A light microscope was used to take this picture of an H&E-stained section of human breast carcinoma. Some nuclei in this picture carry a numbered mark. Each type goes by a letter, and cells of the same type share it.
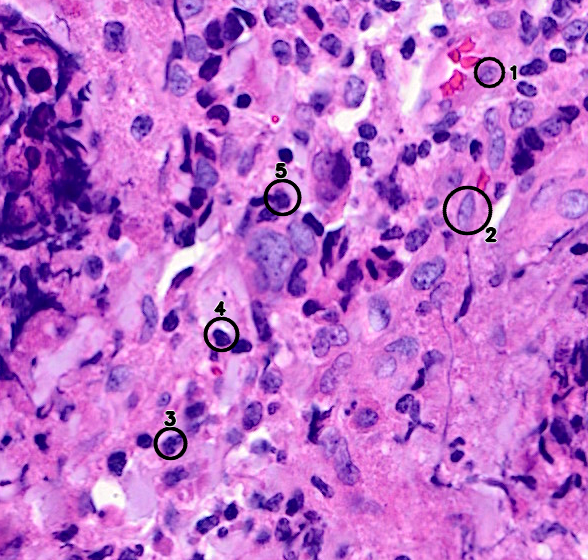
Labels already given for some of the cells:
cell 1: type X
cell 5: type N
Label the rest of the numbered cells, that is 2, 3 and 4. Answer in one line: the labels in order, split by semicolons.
type X; type N; type N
